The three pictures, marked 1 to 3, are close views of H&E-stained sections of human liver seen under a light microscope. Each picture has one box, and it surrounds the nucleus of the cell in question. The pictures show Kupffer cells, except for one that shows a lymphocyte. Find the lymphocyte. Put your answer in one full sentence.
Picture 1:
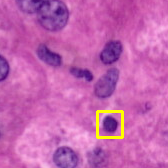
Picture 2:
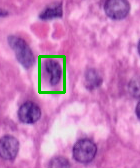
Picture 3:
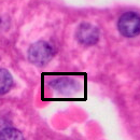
It is picture 1 that shows the lymphocyte.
